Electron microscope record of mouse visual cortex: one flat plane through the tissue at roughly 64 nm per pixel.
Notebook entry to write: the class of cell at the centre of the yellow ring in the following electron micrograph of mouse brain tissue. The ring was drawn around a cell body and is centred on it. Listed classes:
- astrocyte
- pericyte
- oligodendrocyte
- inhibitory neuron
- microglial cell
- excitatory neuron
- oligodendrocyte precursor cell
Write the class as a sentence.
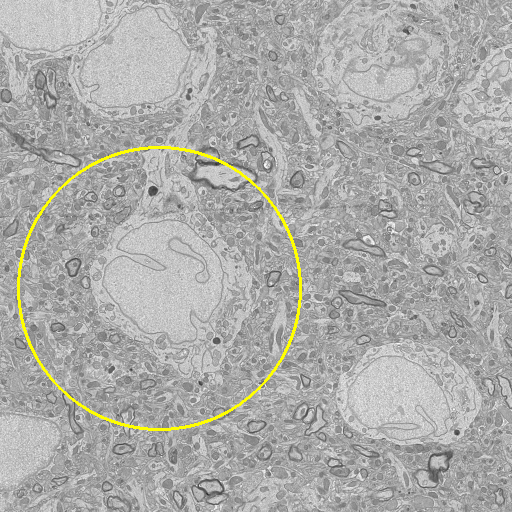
The yellow ring sits on an excitatory neuron.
